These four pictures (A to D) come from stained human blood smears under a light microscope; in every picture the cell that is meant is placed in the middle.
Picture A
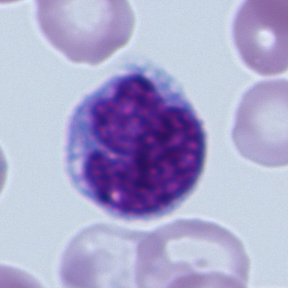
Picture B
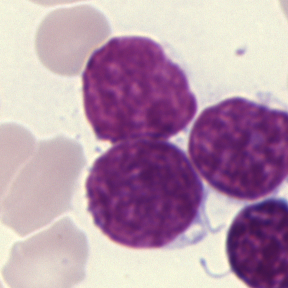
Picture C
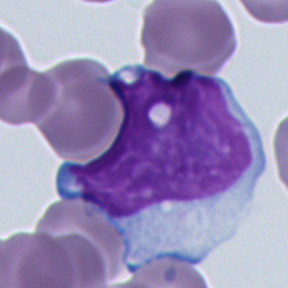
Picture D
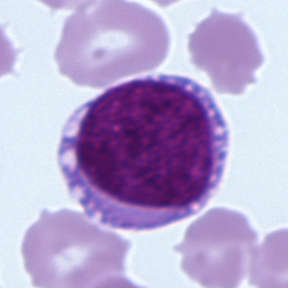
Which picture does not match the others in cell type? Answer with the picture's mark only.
A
